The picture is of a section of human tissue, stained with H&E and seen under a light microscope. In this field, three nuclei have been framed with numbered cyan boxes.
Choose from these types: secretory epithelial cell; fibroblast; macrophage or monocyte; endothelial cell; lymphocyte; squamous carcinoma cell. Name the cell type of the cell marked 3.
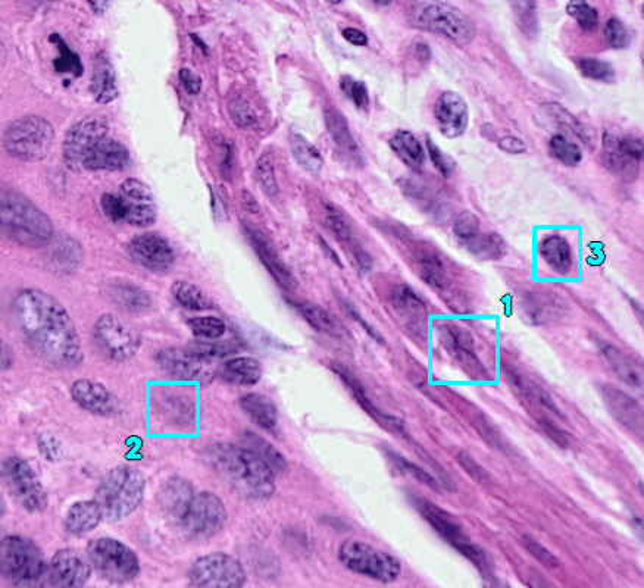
lymphocyte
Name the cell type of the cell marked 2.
squamous carcinoma cell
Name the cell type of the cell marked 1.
fibroblast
